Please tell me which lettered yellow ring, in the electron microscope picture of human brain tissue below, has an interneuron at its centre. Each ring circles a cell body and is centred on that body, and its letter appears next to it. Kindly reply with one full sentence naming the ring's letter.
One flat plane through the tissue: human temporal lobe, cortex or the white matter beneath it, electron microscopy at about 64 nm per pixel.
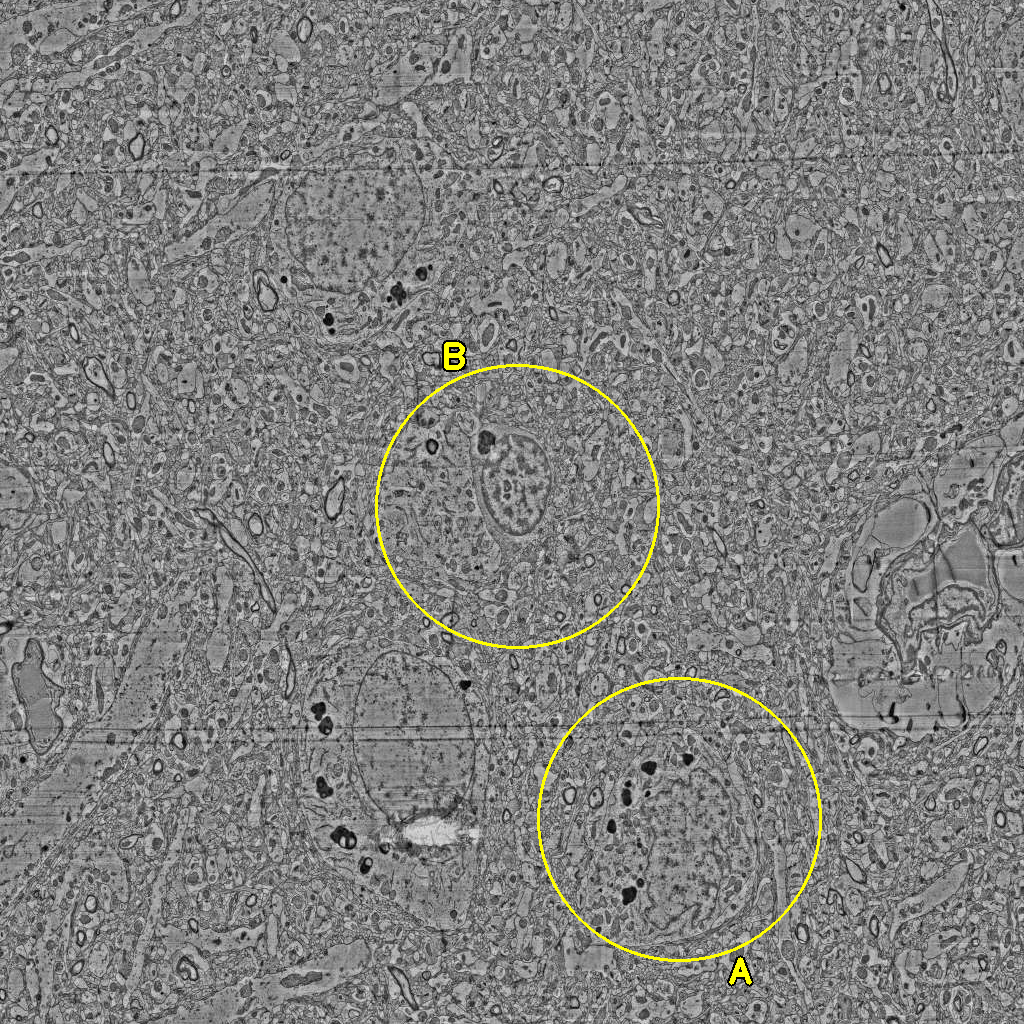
Ring A has the cell asked for at its centre.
